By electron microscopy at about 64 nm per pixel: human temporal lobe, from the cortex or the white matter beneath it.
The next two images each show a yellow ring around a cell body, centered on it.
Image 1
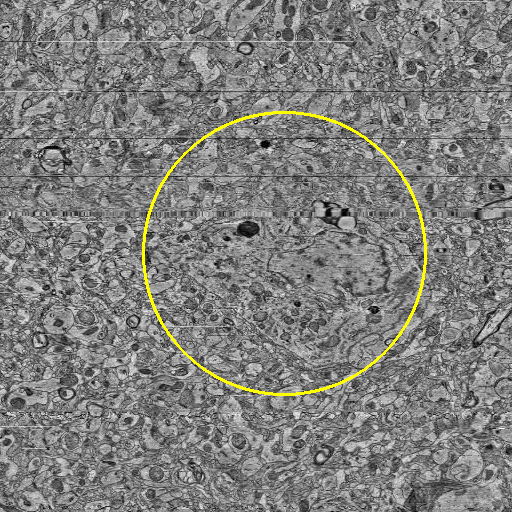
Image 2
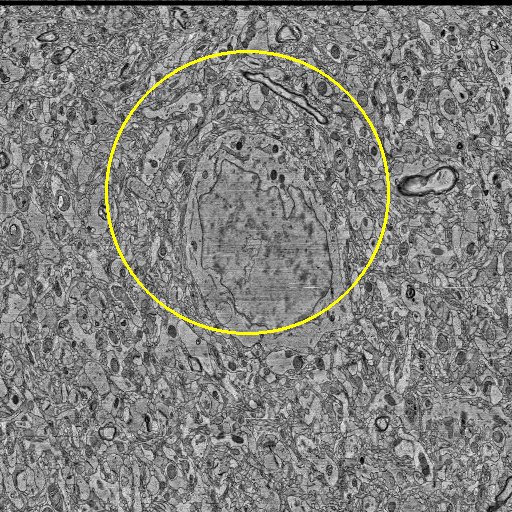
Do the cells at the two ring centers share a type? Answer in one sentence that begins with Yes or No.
Yes, across the two images the cells at the ring centers share one type.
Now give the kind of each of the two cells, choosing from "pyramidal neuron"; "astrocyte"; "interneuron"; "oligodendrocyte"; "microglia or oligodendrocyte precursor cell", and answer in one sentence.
Each of the two cells is an interneuron.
